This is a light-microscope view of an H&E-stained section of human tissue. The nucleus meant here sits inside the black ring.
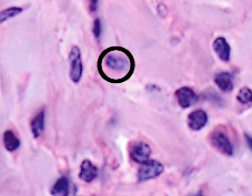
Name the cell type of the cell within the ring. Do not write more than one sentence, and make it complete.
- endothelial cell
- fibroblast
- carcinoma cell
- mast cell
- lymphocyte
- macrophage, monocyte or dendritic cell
For the purposes of cell typing, the cell within the ring is categorized as a mast cell.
